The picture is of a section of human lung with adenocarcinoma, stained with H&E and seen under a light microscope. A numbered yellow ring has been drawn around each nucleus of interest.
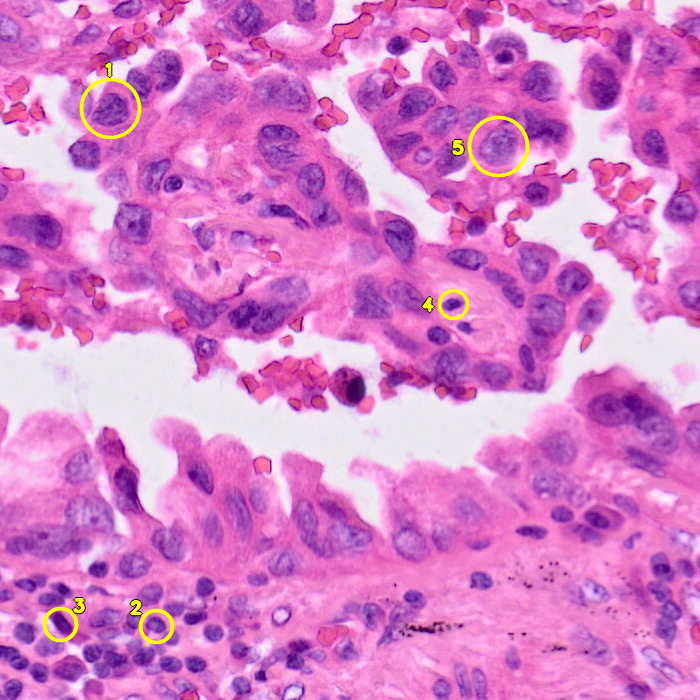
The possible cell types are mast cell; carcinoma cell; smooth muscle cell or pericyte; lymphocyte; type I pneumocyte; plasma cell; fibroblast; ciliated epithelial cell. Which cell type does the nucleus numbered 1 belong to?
carcinoma cell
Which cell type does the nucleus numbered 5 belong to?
carcinoma cell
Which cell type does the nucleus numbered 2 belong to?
lymphocyte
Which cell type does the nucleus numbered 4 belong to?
lymphocyte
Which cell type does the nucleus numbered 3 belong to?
plasma cell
